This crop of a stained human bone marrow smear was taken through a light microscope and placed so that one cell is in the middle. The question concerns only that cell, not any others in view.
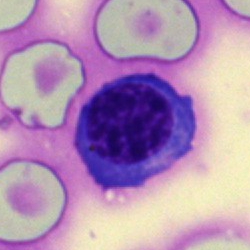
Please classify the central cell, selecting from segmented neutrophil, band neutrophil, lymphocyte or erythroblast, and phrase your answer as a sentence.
The cell at the heart of this crop is an erythroblast.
